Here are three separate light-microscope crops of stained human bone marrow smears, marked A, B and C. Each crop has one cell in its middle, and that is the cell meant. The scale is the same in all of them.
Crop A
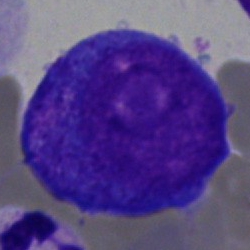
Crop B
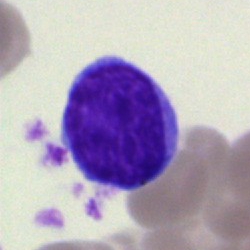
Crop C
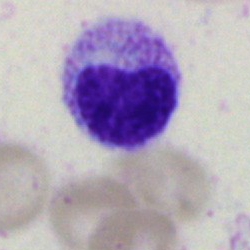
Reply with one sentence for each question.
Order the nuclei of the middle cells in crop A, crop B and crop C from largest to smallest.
Largest first: A, B, C.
